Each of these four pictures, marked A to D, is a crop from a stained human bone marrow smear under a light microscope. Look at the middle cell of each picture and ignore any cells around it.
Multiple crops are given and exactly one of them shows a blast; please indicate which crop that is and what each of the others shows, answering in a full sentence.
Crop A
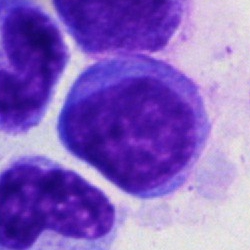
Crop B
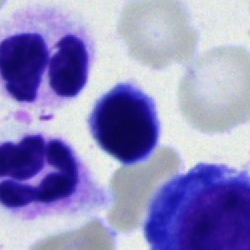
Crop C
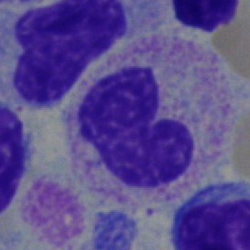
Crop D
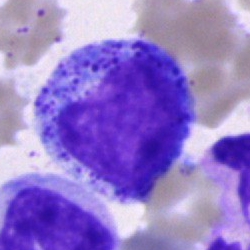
Crop A shows a blast, while in contrast crop B is a lymphocyte, crop C is a band neutrophil and crop D is a promyelocyte.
